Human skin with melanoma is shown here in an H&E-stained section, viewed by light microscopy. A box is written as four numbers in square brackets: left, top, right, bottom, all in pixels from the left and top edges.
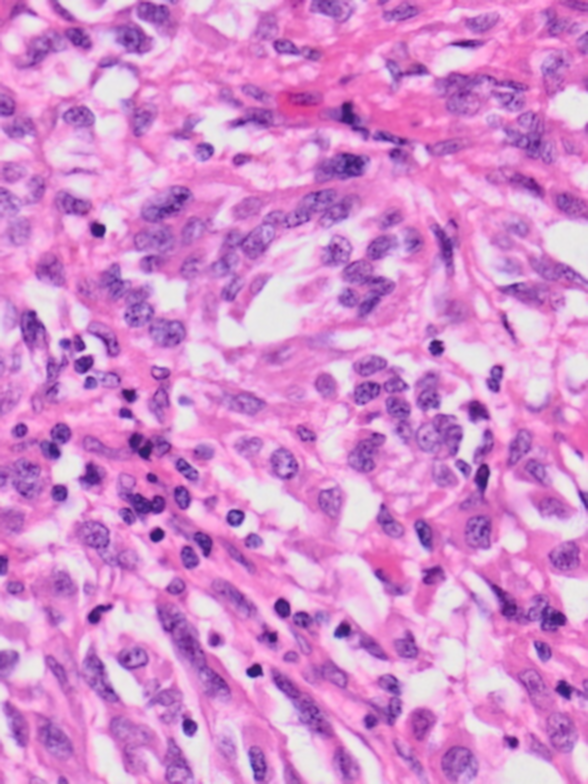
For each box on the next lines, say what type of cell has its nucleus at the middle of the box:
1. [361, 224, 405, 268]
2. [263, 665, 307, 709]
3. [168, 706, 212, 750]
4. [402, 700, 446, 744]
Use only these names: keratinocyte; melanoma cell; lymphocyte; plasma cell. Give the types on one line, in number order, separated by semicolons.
melanoma cell; melanoma cell; lymphocyte; melanoma cell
